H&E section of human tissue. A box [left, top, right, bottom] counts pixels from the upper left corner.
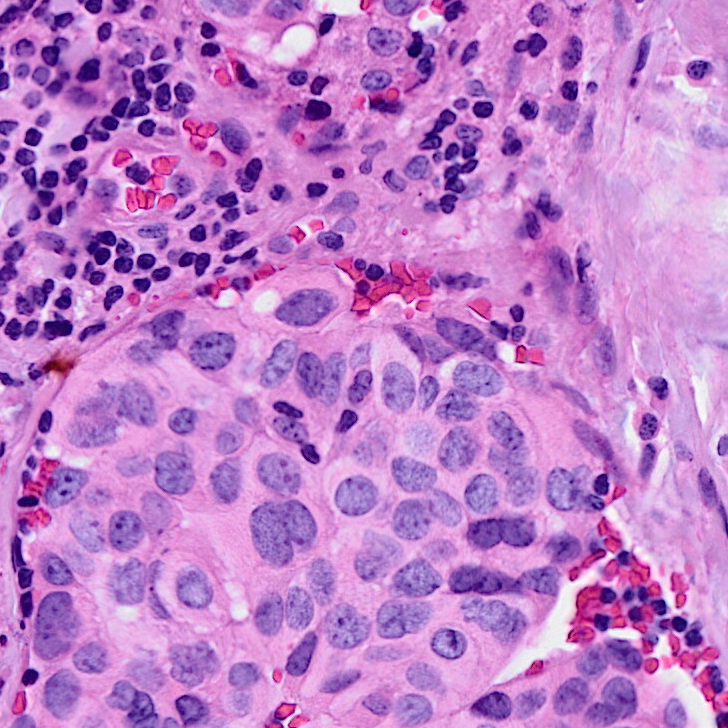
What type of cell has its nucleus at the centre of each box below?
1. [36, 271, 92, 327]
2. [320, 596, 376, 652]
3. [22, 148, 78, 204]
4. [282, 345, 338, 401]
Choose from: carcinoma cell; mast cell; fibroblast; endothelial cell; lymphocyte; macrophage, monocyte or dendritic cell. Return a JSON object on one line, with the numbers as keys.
{"1": "lymphocyte", "2": "carcinoma cell", "3": "lymphocyte", "4": "carcinoma cell"}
